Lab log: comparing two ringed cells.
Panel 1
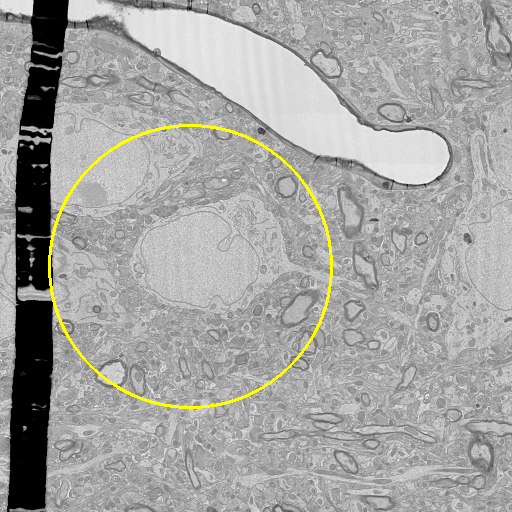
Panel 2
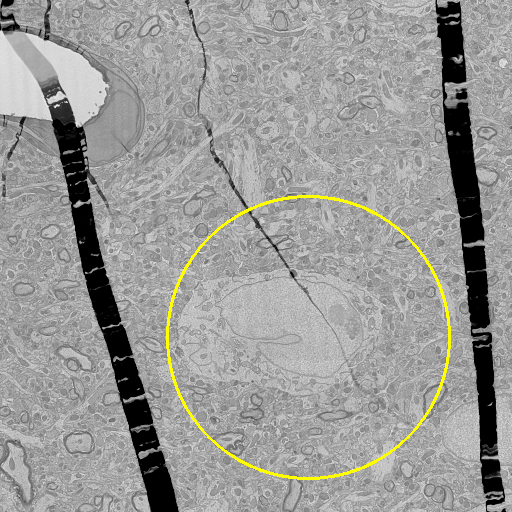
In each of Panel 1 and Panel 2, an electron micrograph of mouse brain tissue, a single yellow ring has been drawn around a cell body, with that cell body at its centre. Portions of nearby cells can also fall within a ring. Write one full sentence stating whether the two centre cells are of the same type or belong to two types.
The cells at the ring centres in Panel 1 and Panel 2 belong to two types.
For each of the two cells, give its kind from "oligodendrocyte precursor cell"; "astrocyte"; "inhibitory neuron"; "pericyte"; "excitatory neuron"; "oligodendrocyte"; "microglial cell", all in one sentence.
The first picture has an excitatory neuron in its ring, the second has an inhibitory neuron.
